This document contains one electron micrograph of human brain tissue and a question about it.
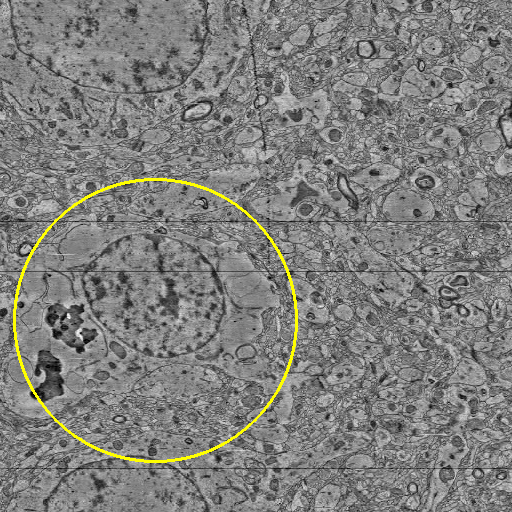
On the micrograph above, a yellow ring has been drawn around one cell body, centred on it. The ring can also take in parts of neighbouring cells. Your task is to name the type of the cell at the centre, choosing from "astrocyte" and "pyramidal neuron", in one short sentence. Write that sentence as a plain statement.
Here the ring is centred on an astrocyte.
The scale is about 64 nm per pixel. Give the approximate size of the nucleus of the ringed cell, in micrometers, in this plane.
Roughly 9 by 8 micrometres in this plane, for the nucleus of the ringed cell.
